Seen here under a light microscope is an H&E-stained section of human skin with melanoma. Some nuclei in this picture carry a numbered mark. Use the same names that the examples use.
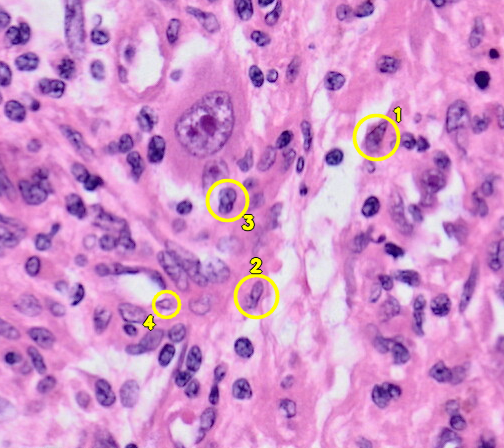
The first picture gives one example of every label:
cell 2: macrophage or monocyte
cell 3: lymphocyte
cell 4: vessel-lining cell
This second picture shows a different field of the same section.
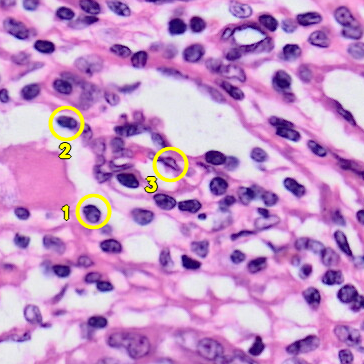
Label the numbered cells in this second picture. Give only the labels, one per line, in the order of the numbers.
lymphocyte
lymphocyte
vessel-lining cell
